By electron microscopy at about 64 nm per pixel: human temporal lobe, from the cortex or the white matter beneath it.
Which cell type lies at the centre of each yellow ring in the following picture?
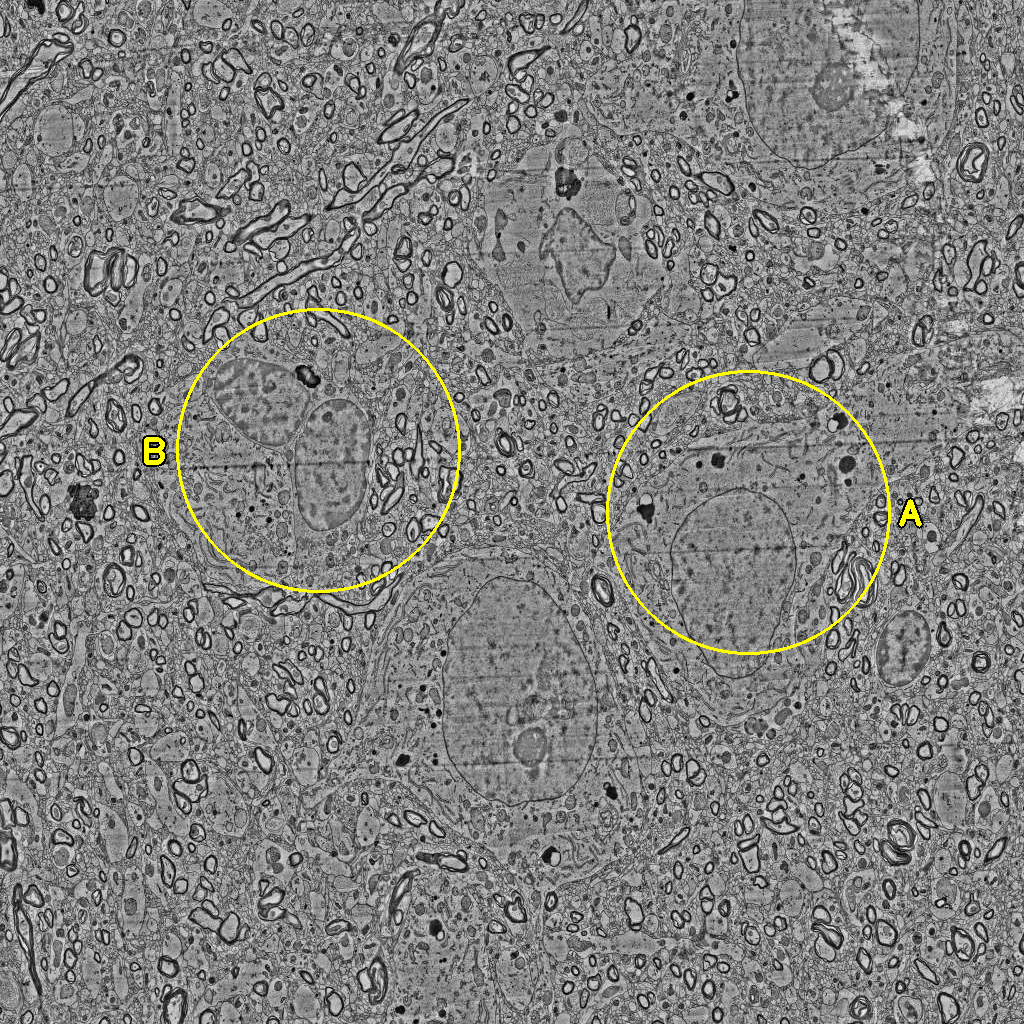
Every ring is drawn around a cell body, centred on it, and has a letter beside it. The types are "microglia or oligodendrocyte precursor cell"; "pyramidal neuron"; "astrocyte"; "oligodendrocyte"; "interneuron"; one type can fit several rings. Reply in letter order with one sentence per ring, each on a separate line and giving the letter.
Ring A marks the cell body of a pyramidal neuron.
Ring B marks the cell body of an oligodendrocyte.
